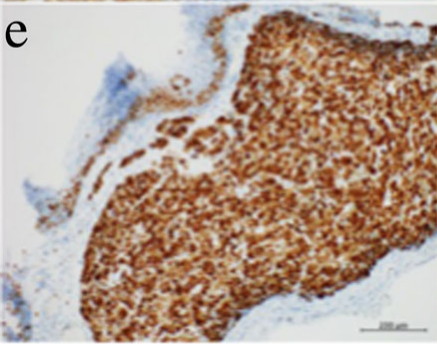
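A solid nest of crowded tumour cells is seen with dark brown staining in nearly all of its nuclei, the nuclei round to oval and packed closely with little intervening cytoplasm. Brown-stained nuclei also extend into the thin band of stratified epithelium along the upper and left edge of the nest. The surrounding loose stroma and the surface layer at the far left remain pale blue.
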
